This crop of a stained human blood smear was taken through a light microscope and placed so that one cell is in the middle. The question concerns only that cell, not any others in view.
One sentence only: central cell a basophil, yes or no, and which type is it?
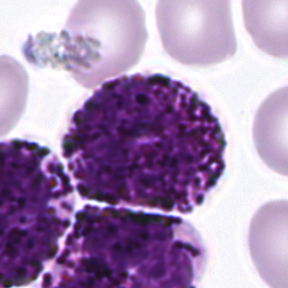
Yes, the cell located at the center is a basophil.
